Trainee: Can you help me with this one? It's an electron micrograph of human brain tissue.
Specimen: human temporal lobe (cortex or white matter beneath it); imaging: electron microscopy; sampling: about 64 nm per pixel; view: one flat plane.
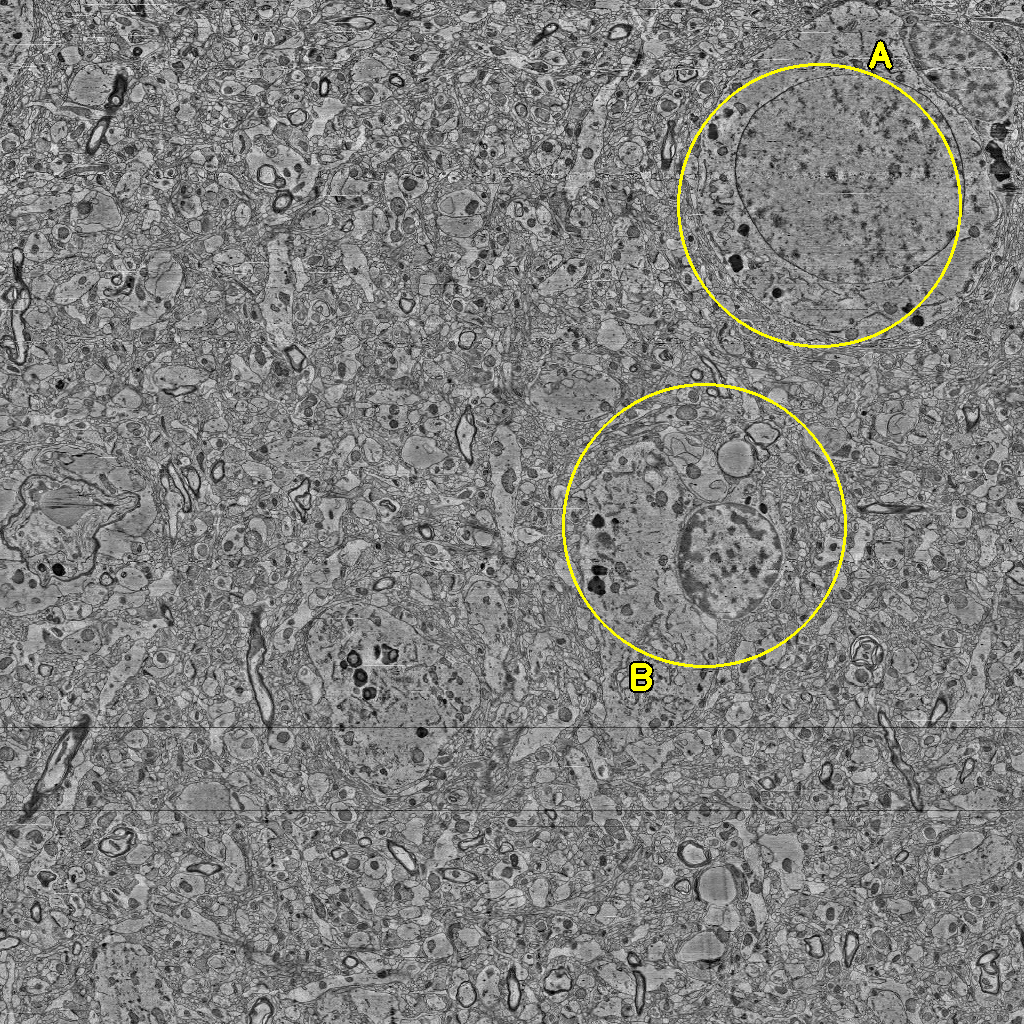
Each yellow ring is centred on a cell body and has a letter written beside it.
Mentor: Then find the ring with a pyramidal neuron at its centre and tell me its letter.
A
